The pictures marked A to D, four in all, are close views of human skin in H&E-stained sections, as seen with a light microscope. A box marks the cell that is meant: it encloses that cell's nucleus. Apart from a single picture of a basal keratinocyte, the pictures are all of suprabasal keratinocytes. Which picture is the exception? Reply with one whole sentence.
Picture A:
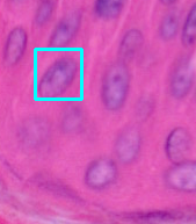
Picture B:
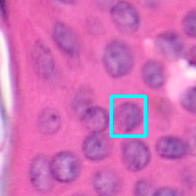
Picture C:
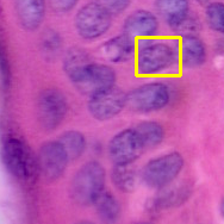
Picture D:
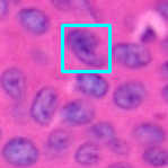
The basal keratinocyte is the one in picture C.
